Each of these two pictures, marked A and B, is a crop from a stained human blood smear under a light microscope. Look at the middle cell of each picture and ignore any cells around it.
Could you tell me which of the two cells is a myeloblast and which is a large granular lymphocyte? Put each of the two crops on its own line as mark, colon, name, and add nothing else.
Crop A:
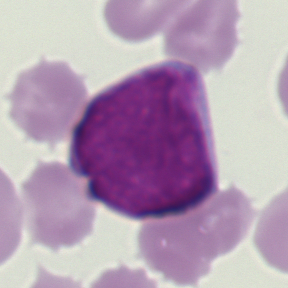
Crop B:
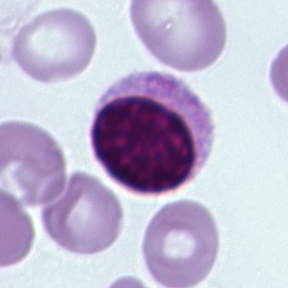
A: myeloblast
B: large granular lymphocyte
